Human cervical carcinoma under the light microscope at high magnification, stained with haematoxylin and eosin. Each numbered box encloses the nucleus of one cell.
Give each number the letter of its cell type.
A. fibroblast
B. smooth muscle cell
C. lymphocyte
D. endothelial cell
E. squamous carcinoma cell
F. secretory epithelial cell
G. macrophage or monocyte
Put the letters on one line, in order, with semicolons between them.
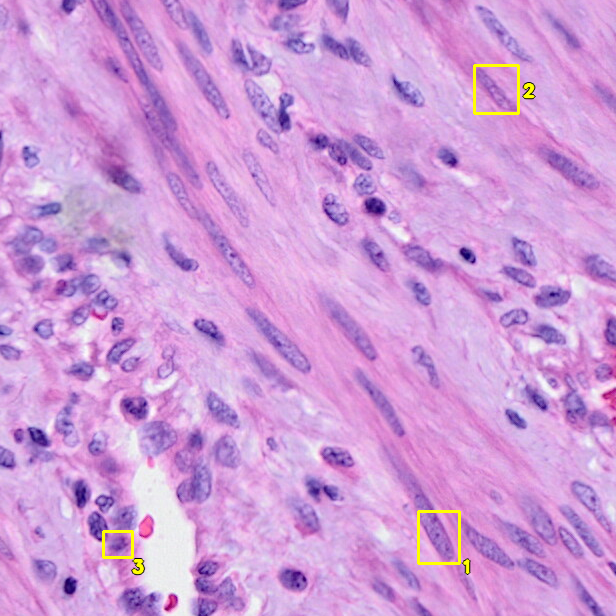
B; B; D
